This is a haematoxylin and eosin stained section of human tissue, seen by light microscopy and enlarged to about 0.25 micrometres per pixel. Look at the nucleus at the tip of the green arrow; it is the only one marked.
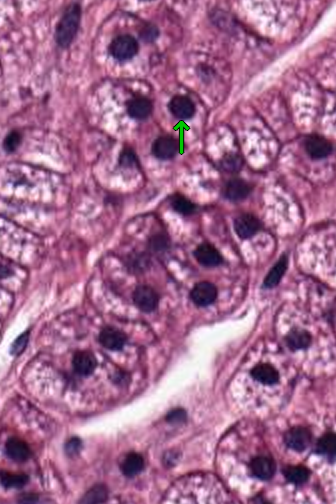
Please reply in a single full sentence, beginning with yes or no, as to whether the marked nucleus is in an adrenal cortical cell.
Yes, the marked nucleus is housed in an adrenal cortical cell.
